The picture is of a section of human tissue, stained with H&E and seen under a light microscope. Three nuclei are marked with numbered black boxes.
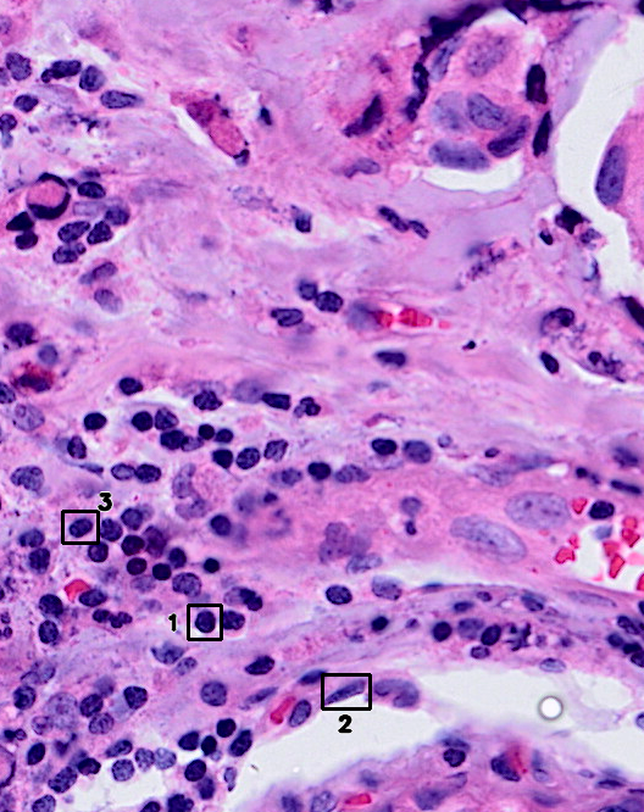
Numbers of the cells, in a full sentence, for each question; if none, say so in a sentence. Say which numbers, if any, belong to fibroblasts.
Only the cell numbered 2 is a fibroblast; none of the others is.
